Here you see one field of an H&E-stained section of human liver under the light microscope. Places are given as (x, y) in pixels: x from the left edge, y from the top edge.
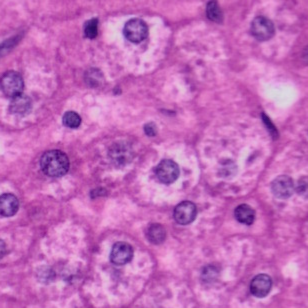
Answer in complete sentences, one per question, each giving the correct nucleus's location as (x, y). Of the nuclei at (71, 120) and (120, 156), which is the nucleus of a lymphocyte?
Only the nucleus at (71, 120), of the two, belongs to a lymphocyte.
